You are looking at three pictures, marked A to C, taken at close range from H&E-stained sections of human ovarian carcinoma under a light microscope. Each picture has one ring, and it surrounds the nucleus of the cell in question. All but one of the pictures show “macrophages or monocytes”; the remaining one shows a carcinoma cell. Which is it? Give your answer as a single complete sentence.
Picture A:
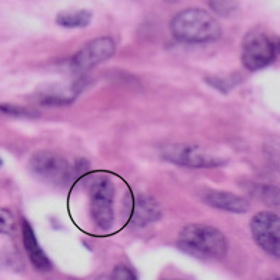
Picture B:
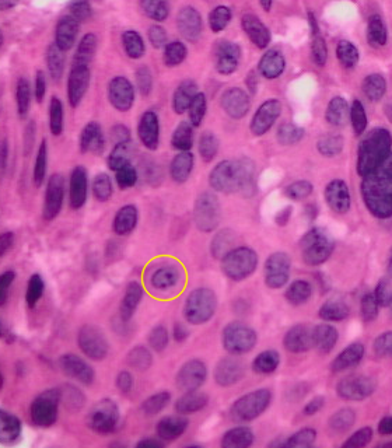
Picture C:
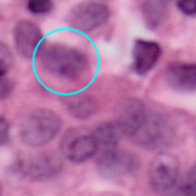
Picture C shows the carcinoma cell.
